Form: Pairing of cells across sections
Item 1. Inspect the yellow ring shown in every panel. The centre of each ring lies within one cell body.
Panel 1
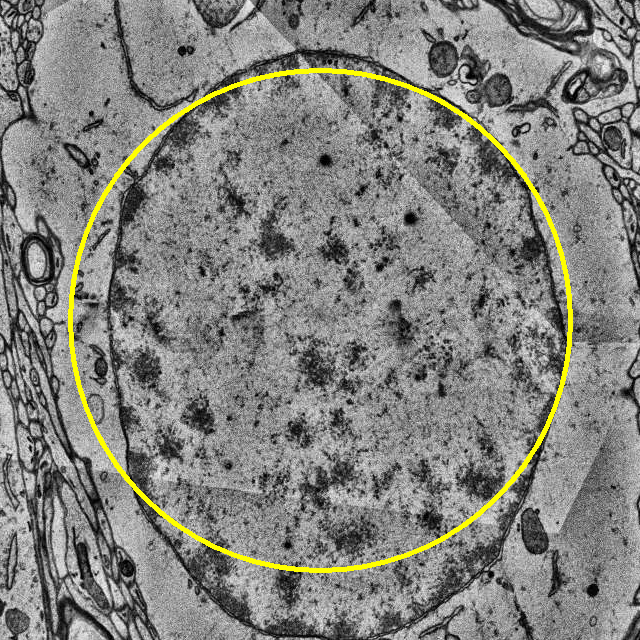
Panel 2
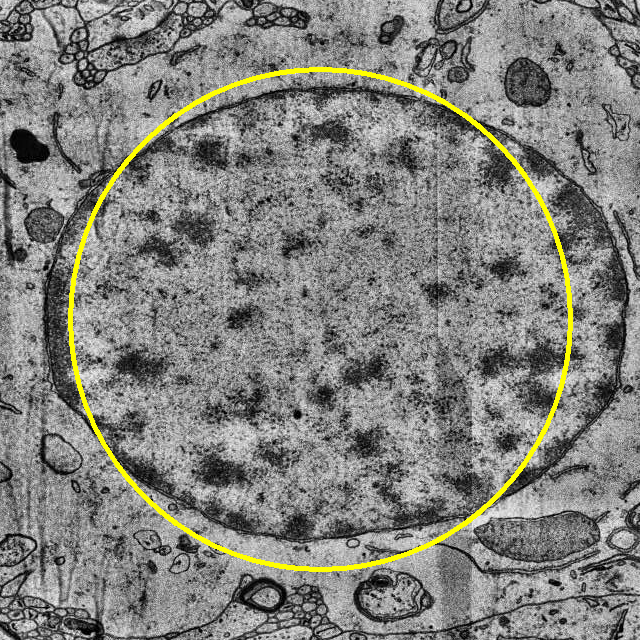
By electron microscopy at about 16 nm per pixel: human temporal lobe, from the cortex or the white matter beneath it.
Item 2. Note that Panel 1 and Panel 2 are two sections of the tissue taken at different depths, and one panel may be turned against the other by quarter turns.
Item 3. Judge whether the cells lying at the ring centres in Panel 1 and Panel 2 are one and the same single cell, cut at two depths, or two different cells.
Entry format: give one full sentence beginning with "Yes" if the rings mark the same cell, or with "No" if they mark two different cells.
Yes, both yellow rings were placed on the same cell.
